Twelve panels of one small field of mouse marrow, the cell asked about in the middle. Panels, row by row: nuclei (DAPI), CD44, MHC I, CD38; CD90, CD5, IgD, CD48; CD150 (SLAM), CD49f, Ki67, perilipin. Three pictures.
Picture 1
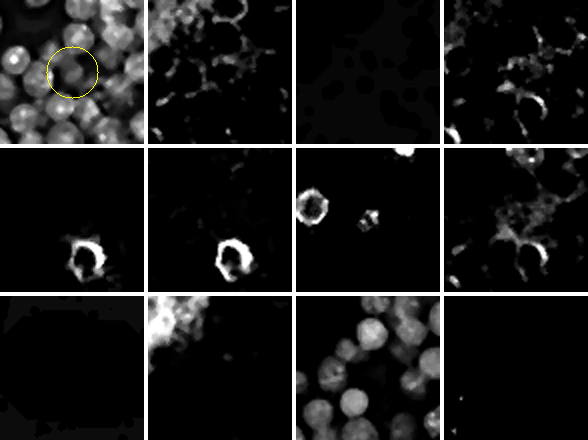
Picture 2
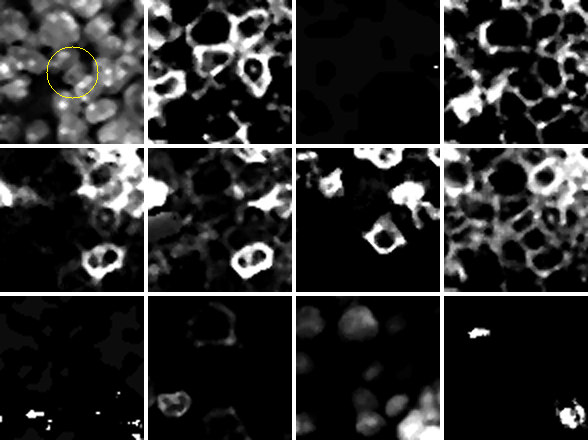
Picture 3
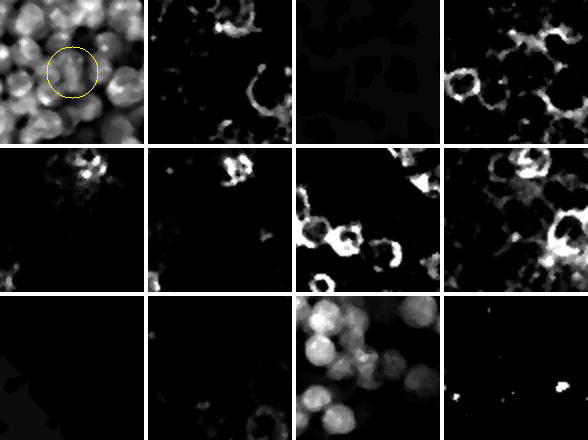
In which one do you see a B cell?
In picture 1.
